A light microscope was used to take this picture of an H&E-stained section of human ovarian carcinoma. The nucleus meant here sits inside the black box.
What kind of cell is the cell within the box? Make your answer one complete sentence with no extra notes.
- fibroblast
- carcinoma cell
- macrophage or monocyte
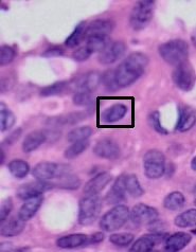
Among the cells in this section, the cell within the box is a macrophage or monocyte.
